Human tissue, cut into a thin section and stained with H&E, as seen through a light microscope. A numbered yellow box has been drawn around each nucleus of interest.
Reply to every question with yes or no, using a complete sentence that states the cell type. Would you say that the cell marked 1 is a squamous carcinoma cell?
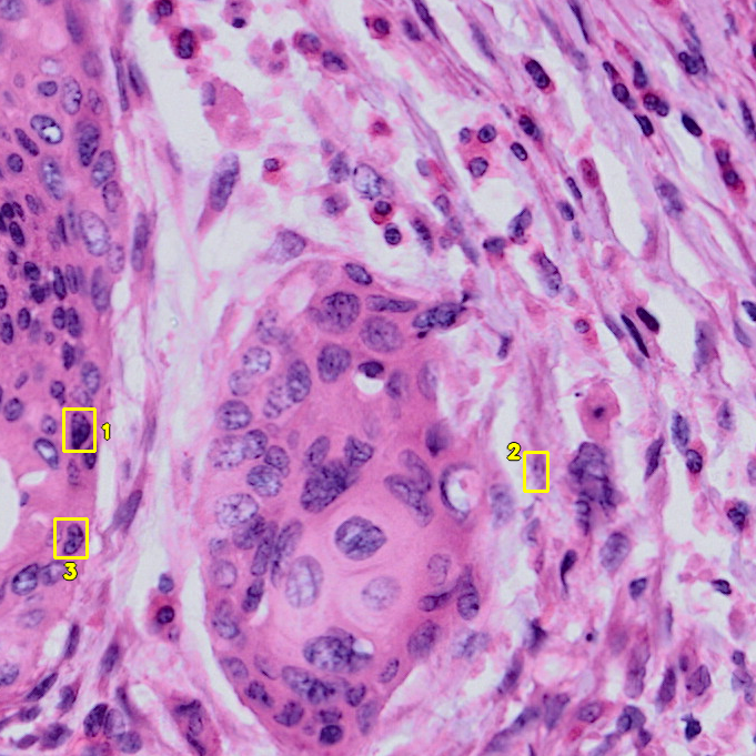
Yes, the cell identified as number 1 is a squamous carcinoma cell.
